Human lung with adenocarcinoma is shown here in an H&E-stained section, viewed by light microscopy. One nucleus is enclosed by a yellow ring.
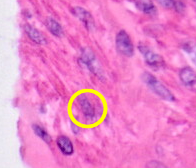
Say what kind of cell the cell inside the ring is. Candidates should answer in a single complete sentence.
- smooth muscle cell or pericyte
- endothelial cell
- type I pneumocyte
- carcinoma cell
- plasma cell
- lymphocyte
Within this tissue, the cell inside the ring is a smooth muscle cell or pericyte.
